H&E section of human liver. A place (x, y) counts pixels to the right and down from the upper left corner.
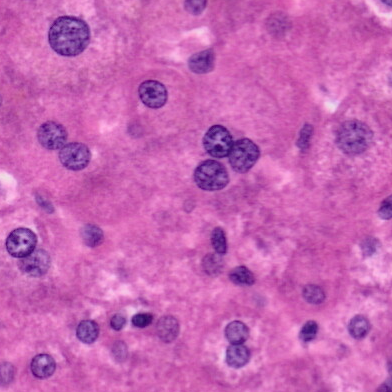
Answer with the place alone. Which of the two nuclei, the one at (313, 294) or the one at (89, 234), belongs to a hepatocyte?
(313, 294)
